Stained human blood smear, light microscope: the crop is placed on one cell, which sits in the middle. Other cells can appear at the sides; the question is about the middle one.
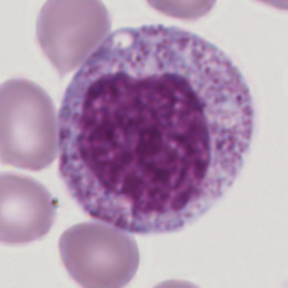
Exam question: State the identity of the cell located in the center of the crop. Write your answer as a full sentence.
Looking at the middle of the crop, the cell there is a myelocyte.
